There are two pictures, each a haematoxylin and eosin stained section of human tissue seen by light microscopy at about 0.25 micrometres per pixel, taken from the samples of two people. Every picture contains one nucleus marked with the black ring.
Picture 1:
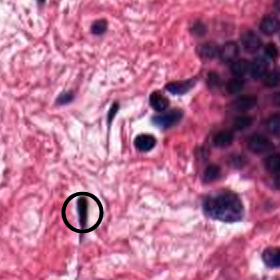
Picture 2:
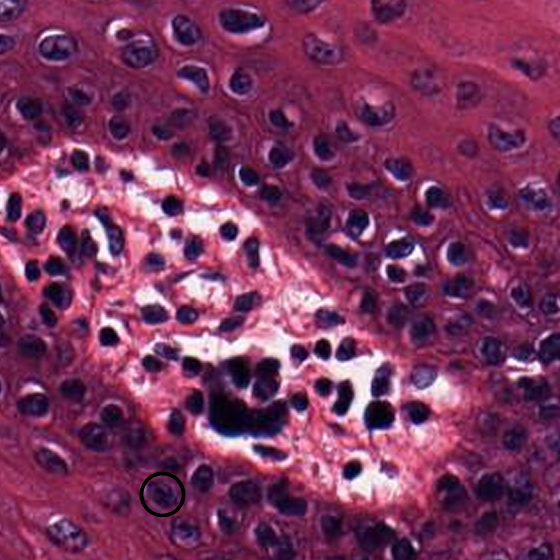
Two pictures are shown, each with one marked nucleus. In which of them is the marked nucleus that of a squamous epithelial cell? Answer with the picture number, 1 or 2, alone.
2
